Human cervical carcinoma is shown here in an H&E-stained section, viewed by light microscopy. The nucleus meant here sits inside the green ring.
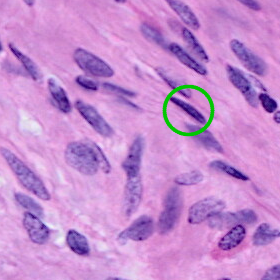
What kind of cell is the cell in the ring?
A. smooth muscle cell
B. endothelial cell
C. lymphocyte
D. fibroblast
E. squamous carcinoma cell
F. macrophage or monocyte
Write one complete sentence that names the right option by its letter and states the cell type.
Option D correctly identifies the cell in the ring as a fibroblast.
